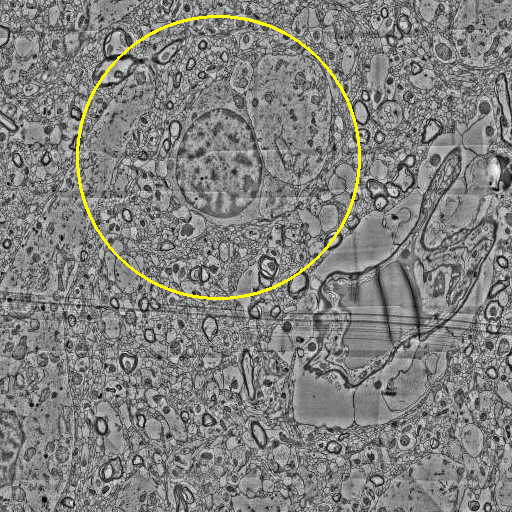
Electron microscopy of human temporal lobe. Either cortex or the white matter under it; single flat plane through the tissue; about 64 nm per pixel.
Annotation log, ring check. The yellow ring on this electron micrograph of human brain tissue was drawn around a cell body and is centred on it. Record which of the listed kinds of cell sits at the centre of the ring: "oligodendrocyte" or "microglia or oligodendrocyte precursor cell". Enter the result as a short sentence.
The cell at the centre of the ring is an oligodendrocyte.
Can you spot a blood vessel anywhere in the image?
Yes, one shows.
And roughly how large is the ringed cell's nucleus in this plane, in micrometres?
In this plane, the nucleus of the cell at the centre of the ring measures about 7 by 6 micrometres.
